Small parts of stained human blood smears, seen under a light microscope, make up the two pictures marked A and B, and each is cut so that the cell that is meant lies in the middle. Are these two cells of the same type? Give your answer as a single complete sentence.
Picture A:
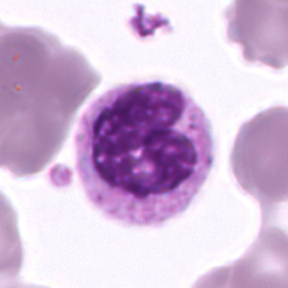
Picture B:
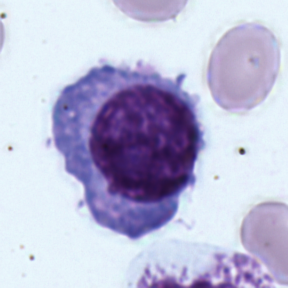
No, the types are not the same, since picture A shows a band neutrophil and picture B a plasma cell.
